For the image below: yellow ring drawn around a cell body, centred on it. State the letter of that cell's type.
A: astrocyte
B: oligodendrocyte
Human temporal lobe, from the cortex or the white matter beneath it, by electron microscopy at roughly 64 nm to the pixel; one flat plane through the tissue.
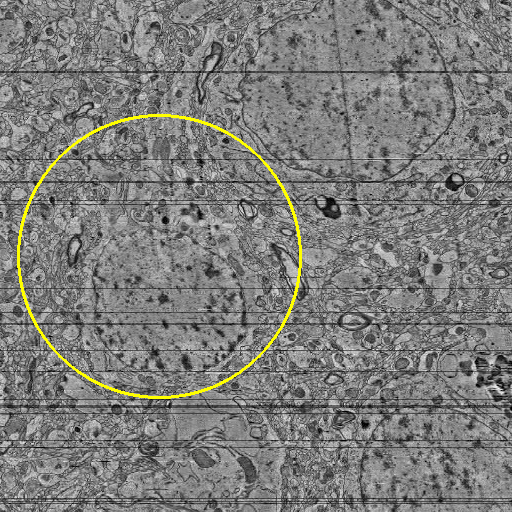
A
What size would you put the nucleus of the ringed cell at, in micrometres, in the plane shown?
The nucleus measures about 10 micrometers across in this plane.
